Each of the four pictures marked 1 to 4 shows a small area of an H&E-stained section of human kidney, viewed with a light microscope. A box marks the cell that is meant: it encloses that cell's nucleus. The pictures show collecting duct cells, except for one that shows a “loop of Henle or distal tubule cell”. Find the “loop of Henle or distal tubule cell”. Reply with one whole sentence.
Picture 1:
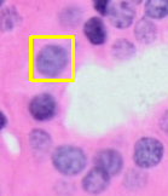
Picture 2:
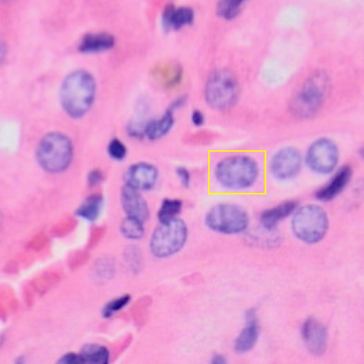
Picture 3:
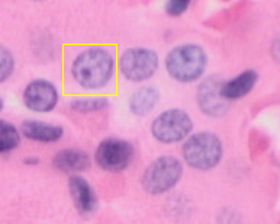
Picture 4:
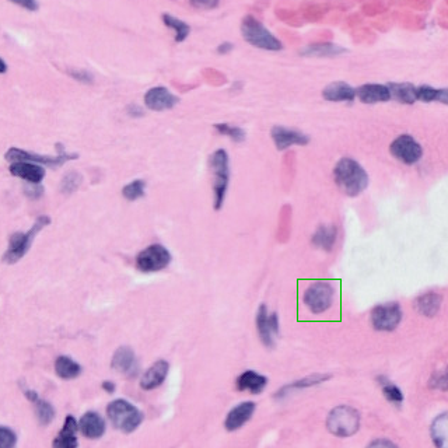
Picture 4 shows the “loop of Henle or distal tubule cell”.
